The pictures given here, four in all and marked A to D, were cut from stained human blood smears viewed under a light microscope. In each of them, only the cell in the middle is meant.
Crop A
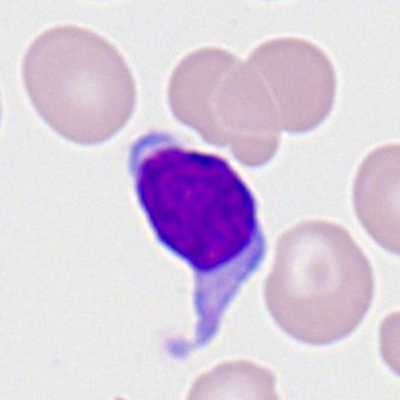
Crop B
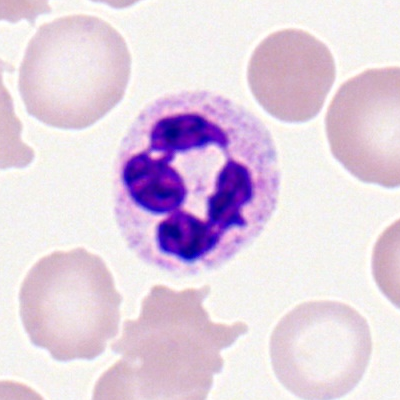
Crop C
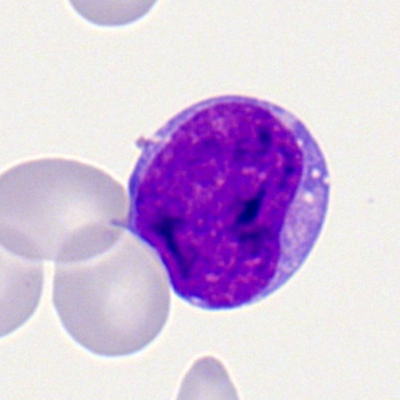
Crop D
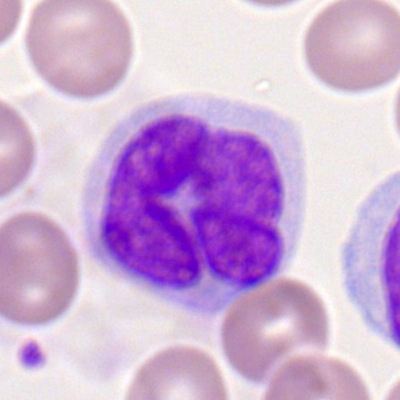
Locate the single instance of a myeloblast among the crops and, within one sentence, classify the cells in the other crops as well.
The labels are: crop C is a myeloblast, and crop A is a lymphocyte, crop B is a segmented neutrophil and crop D is a monocyte.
